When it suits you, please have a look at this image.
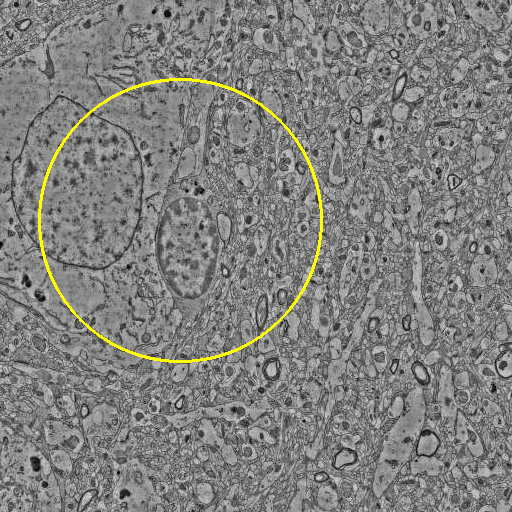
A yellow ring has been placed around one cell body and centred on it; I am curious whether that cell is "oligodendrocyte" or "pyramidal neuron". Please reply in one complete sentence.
The ringed cell, an oligodendrocyte, has its body at the centre of the yellow ring.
